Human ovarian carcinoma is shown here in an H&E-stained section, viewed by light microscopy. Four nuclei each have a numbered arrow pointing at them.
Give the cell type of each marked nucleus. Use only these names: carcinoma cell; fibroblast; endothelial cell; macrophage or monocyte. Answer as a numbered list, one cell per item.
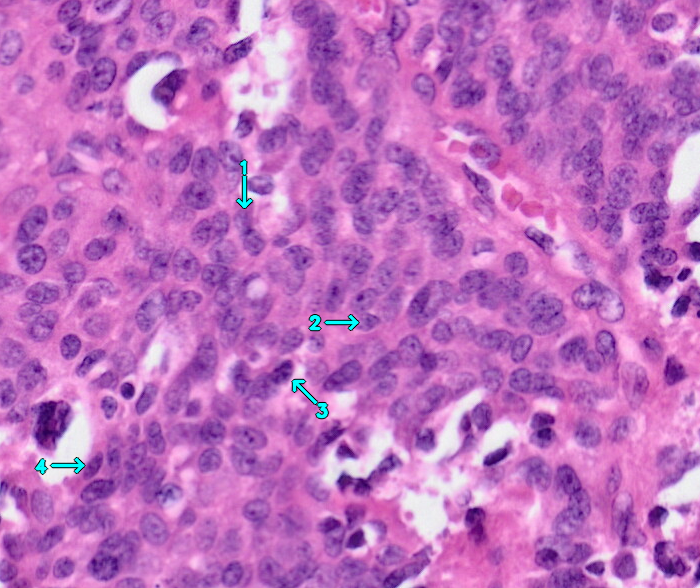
1. carcinoma cell
2. macrophage or monocyte
3. carcinoma cell
4. carcinoma cell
